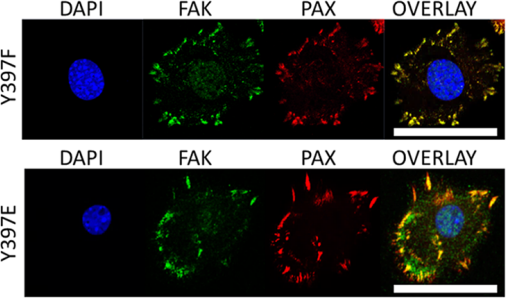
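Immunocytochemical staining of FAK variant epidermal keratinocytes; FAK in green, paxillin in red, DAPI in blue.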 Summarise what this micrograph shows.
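The green and red labels both lie mainly in elongated streaks and dots along the outer edge of the cell, pointing outward toward the periphery. Fainter, finer green and red dots are scattered through the cytoplasm. In the merged images the peripheral streaks appear yellow to orange, showing that the green and red labels lie in the same places.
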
